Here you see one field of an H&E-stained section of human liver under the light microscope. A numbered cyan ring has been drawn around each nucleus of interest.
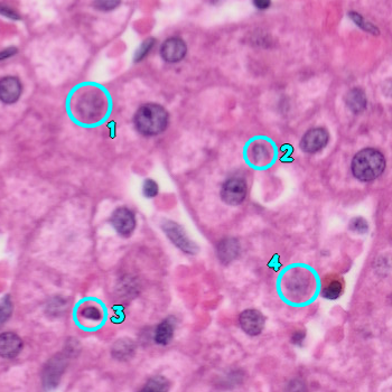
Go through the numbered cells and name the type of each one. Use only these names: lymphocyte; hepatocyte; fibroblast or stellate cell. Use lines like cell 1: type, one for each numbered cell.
cell 1: hepatocyte
cell 2: fibroblast or stellate cell
cell 3: lymphocyte
cell 4: hepatocyte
